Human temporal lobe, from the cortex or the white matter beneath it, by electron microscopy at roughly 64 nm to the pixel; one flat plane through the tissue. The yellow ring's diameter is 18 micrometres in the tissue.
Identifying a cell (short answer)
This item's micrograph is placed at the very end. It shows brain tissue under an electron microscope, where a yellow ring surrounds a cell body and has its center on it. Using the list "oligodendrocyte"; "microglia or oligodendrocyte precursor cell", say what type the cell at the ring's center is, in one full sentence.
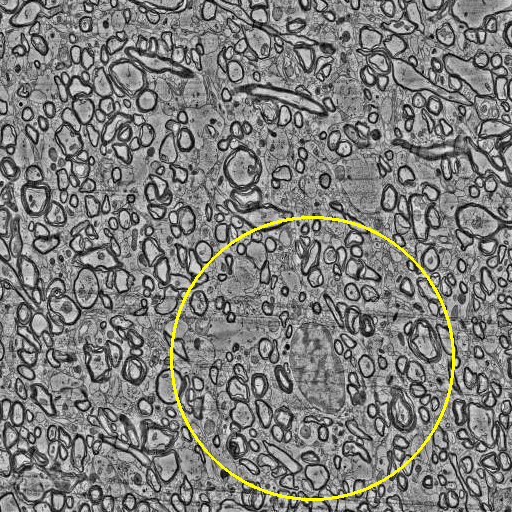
This picture shows a microglial cell or oligodendrocyte precursor cell at the center of the yellow ring drawn on it.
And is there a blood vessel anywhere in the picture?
No, a blood vessel is absent from this picture.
